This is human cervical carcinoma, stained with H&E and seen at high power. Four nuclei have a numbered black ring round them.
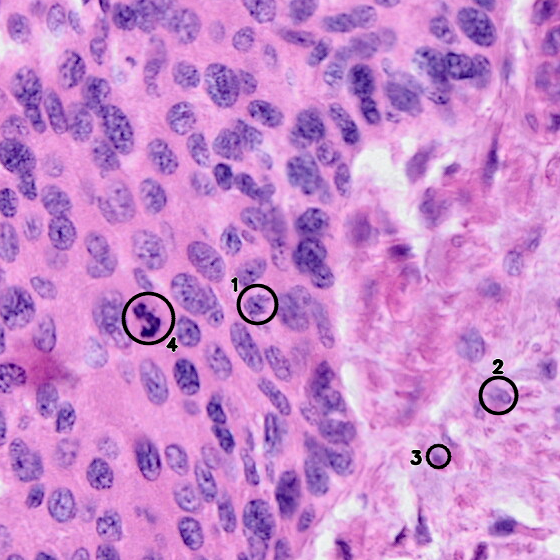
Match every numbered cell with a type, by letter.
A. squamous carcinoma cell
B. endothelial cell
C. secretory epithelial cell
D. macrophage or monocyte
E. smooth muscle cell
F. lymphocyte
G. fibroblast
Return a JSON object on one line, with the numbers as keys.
{"1": "A", "2": "G", "3": "G", "4": "A"}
